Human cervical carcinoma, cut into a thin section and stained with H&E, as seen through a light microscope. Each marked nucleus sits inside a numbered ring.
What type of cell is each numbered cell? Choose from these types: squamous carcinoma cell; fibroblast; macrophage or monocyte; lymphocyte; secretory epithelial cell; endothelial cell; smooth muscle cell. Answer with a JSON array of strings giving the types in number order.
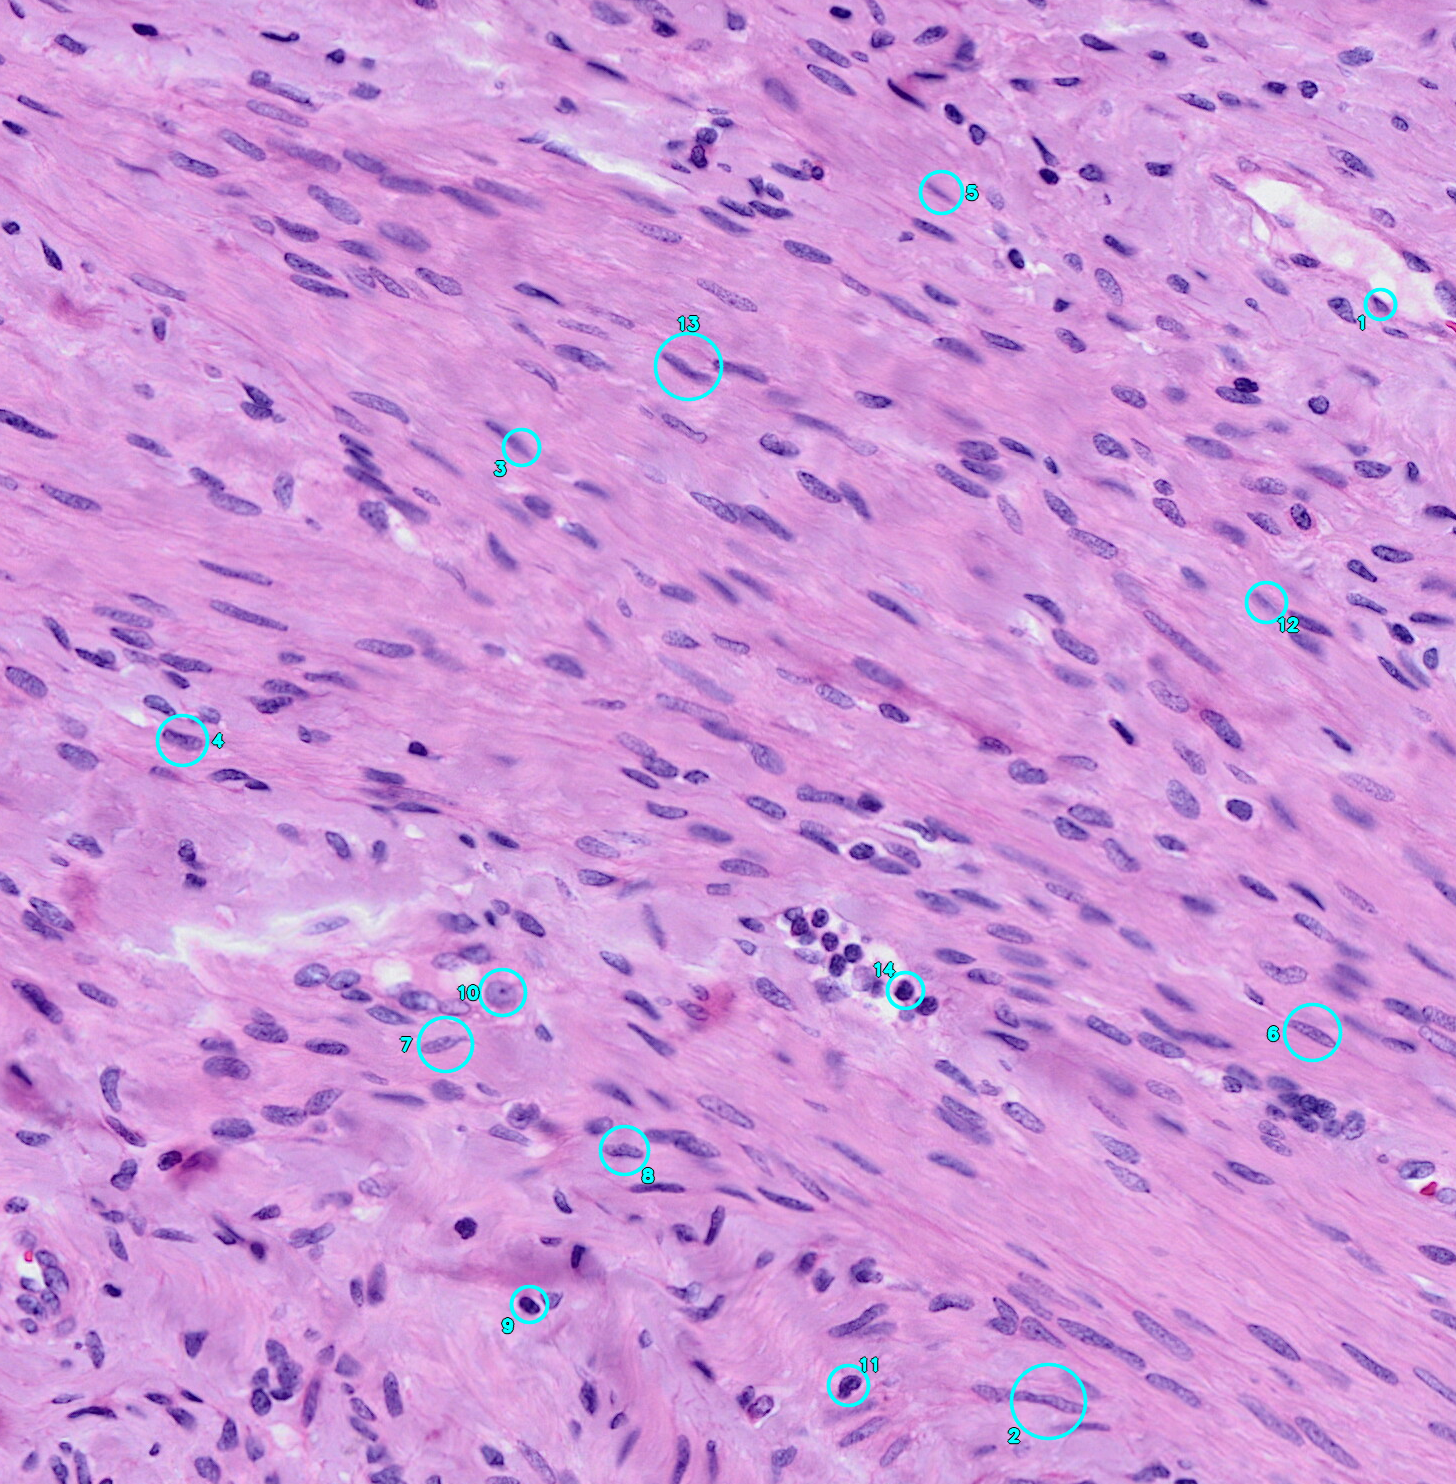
["endothelial cell", "smooth muscle cell", "fibroblast", "fibroblast", "fibroblast", "fibroblast", "fibroblast", "fibroblast", "lymphocyte", "endothelial cell", "lymphocyte", "fibroblast", "fibroblast", "lymphocyte"]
